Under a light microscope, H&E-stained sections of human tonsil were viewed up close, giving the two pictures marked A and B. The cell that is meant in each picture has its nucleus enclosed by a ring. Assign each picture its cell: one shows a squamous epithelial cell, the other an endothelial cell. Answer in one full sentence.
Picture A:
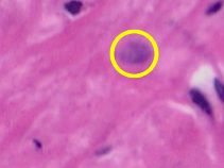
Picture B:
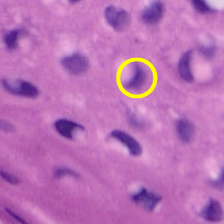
It is picture A that shows an endothelial cell, and picture B that shows a squamous epithelial cell.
